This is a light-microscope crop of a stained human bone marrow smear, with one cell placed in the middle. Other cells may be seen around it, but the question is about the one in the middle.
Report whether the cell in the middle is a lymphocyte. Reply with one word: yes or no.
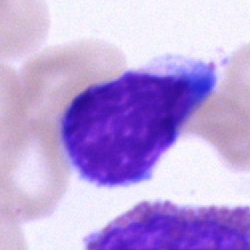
yes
